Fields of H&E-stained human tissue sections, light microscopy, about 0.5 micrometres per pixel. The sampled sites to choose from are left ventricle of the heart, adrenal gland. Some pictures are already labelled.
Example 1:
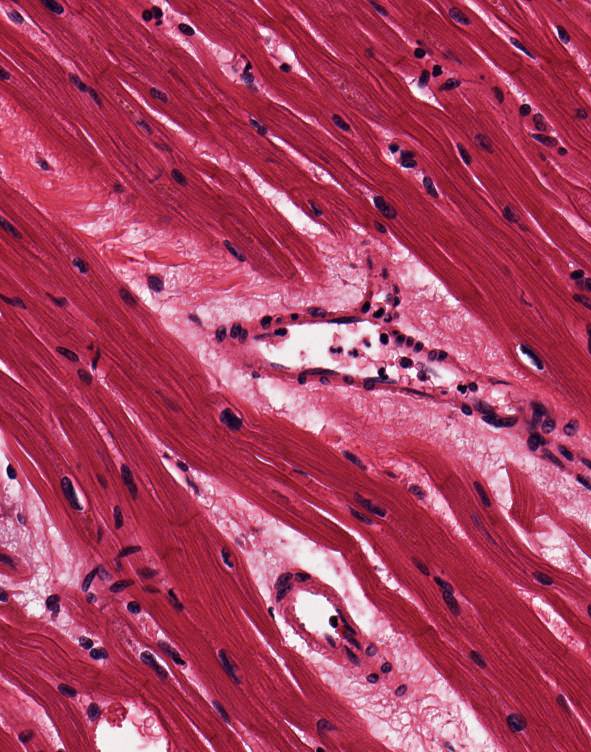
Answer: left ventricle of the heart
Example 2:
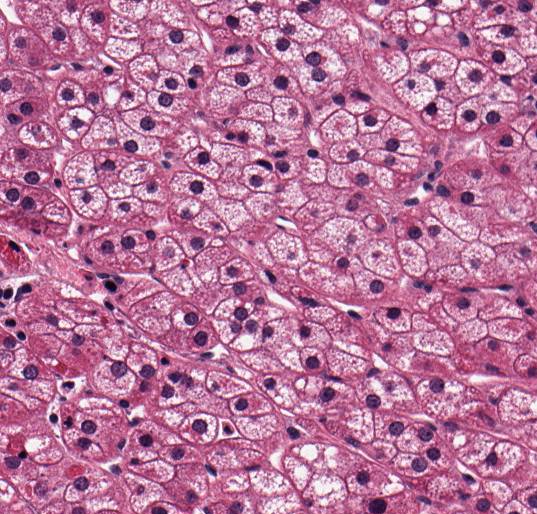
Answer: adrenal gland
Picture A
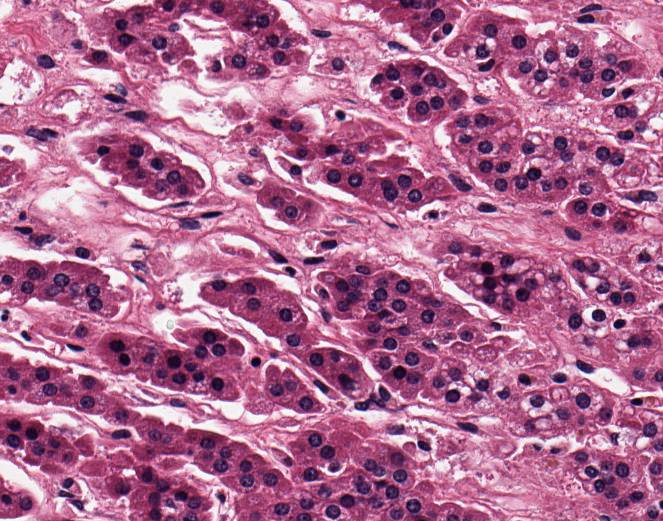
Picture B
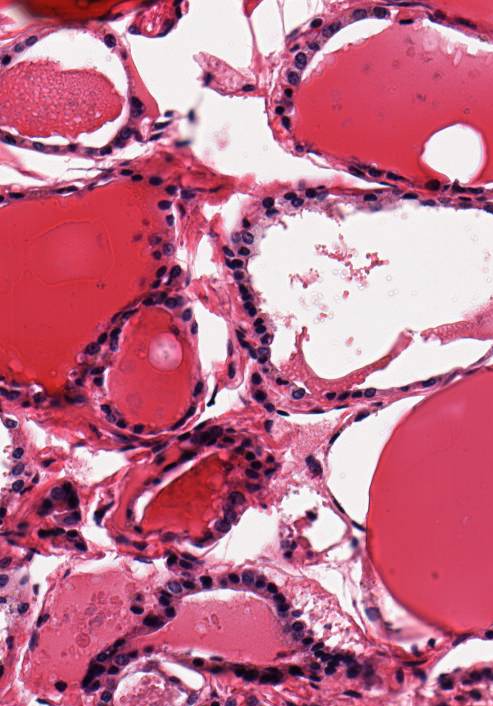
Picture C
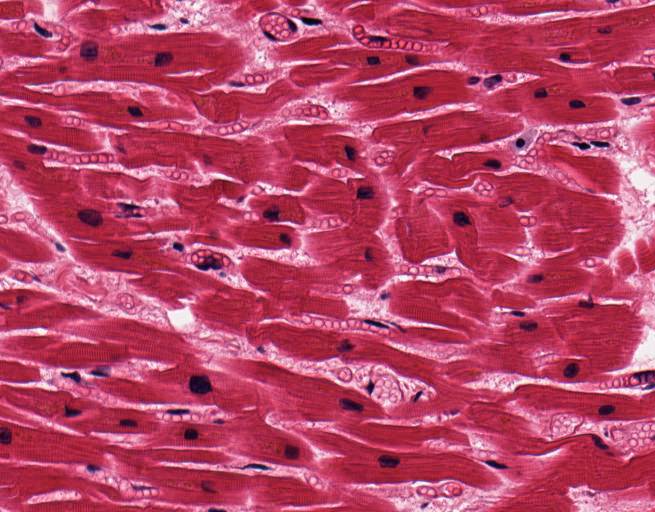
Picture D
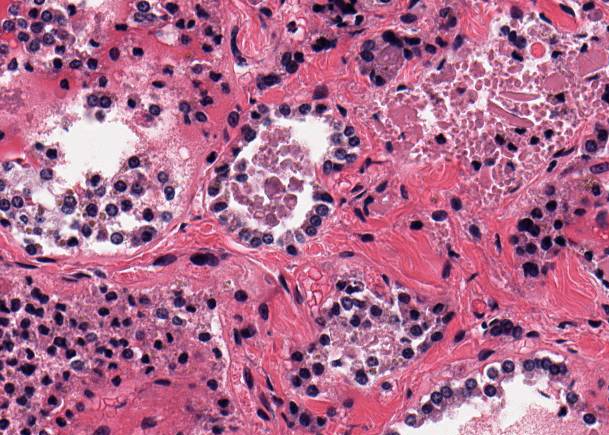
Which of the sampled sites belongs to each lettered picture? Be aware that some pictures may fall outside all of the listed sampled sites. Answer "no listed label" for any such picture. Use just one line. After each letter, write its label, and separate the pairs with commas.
A adrenal gland, B no listed label, C left ventricle of the heart, D no listed label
